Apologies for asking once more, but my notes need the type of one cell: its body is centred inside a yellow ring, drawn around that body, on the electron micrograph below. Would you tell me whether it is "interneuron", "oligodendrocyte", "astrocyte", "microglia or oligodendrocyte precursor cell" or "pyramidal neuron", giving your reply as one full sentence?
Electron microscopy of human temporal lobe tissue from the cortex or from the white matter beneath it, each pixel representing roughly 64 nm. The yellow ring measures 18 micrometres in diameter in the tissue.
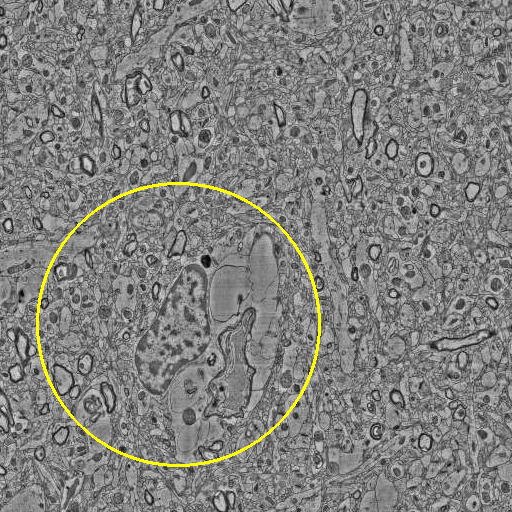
The cell that the yellow ring is centred on is a microglial cell or oligodendrocyte precursor cell in this micrograph.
